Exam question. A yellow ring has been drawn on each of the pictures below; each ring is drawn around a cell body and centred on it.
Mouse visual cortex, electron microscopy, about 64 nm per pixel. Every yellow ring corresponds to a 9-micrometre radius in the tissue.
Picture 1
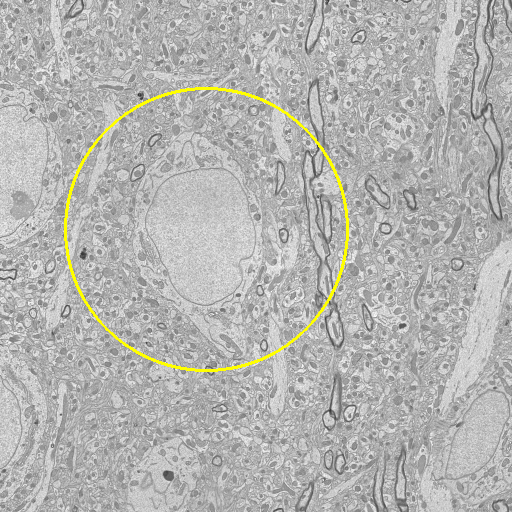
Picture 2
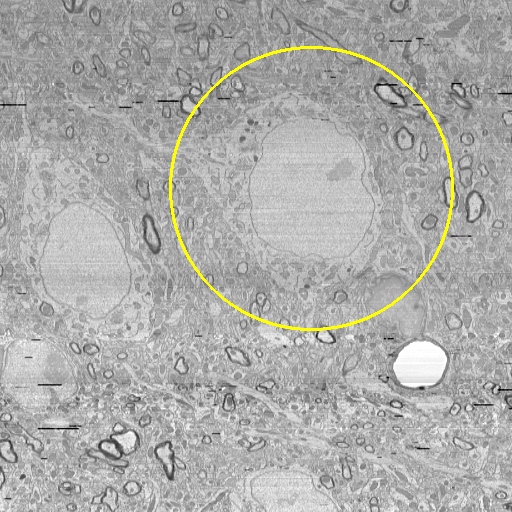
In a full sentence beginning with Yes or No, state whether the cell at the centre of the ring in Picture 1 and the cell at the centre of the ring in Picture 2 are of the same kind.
Yes, the two cells are of the same kind.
